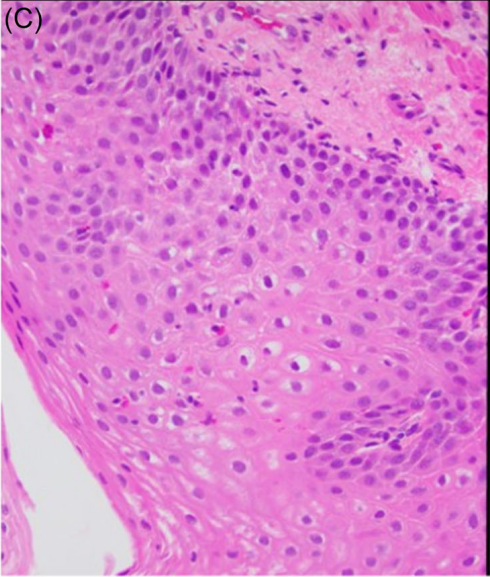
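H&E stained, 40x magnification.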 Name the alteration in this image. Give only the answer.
basal cell hyperplasia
